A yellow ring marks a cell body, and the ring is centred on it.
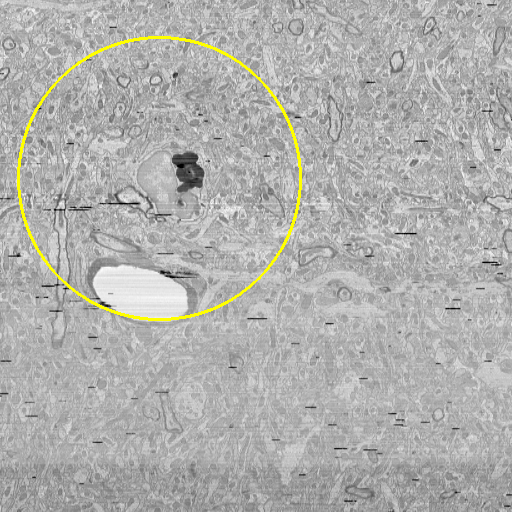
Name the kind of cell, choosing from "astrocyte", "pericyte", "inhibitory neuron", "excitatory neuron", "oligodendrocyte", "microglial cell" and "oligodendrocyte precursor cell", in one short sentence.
The marked cell body belongs to a microglial cell.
